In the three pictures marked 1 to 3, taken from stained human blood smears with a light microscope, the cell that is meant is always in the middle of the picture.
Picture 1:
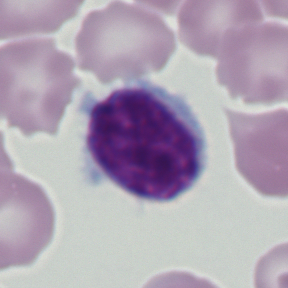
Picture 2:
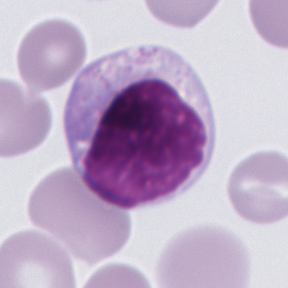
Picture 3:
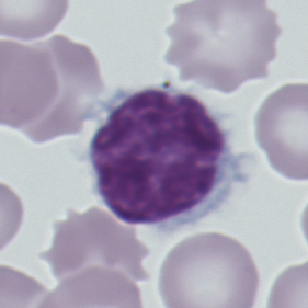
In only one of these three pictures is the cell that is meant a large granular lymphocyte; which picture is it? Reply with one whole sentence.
The large granular lymphocyte is the one in picture 2.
